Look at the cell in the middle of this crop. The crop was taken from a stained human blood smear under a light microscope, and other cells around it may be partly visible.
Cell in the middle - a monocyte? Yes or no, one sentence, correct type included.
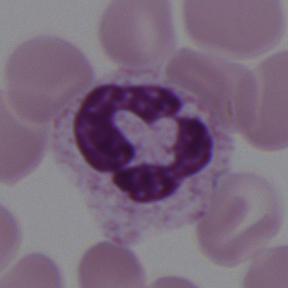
No, what the centre of the crop shows is a neutrophil, not a monocyte.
